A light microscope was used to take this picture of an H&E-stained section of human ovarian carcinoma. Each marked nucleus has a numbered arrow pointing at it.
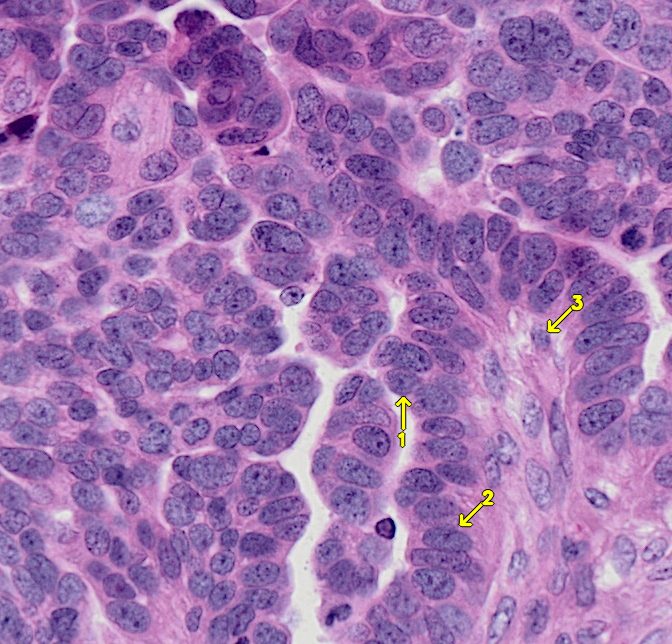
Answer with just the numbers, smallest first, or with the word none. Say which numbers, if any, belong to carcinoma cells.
1, 2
